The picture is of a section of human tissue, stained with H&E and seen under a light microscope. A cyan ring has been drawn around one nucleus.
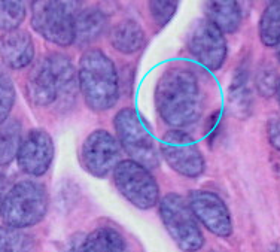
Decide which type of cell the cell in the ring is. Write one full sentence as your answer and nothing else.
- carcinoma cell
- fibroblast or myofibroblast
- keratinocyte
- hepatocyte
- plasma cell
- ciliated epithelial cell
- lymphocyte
In this section of tissue, the cell in the ring is a carcinoma cell.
